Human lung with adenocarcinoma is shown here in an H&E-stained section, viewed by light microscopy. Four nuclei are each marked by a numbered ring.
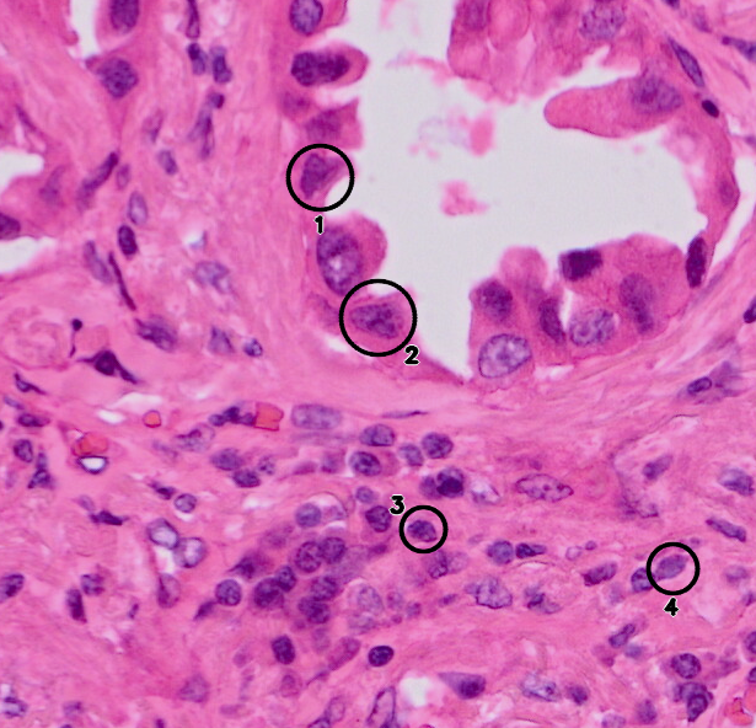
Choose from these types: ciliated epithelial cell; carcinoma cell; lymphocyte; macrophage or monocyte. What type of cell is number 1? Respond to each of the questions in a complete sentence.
The cell indicated with the number 1 is classed as a carcinoma cell.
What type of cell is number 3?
The label 3 in this section denotes a lymphocyte.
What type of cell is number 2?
The cell given label 2 is a carcinoma cell.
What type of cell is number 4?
The cell numbered 4 has been identified as a lymphocyte.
